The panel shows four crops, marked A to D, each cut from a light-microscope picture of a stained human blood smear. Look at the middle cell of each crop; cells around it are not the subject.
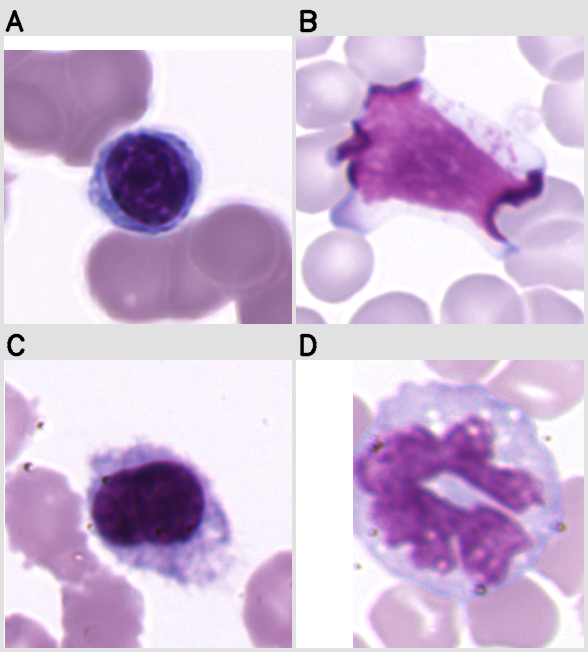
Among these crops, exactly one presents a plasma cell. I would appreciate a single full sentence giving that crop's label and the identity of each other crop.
Crop A is identified as a plasma cell, whereas crop B is a large granular lymphocyte, crop C is a hairy cell and crop D is a monocyte.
